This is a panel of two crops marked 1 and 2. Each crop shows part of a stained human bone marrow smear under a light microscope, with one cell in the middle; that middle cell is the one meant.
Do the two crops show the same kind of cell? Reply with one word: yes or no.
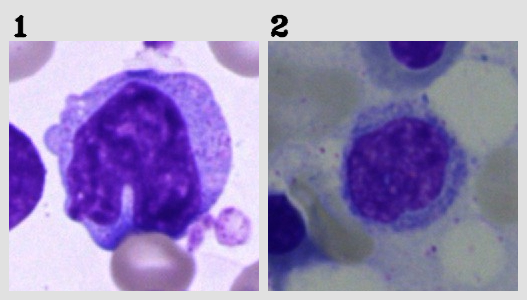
yes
